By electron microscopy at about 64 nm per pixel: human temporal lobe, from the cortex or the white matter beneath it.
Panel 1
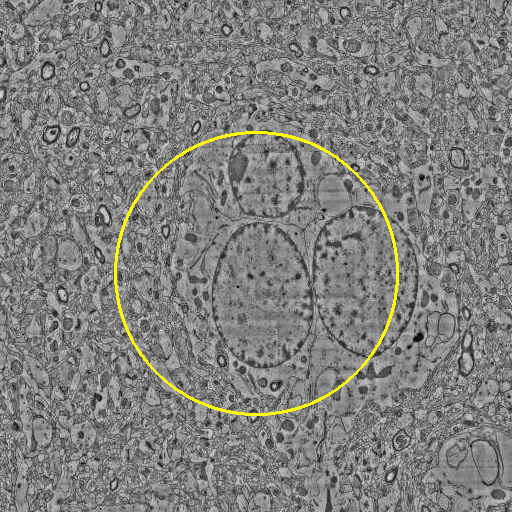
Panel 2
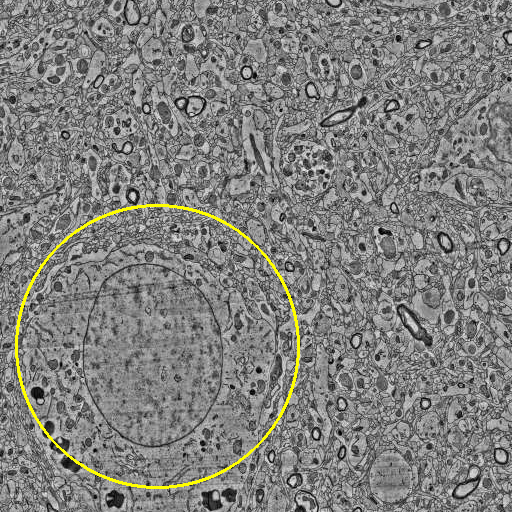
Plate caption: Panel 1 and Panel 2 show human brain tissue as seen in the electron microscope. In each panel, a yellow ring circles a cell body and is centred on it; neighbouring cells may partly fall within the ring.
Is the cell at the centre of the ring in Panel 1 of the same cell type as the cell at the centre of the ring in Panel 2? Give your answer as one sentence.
No, the two cells are of two types.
